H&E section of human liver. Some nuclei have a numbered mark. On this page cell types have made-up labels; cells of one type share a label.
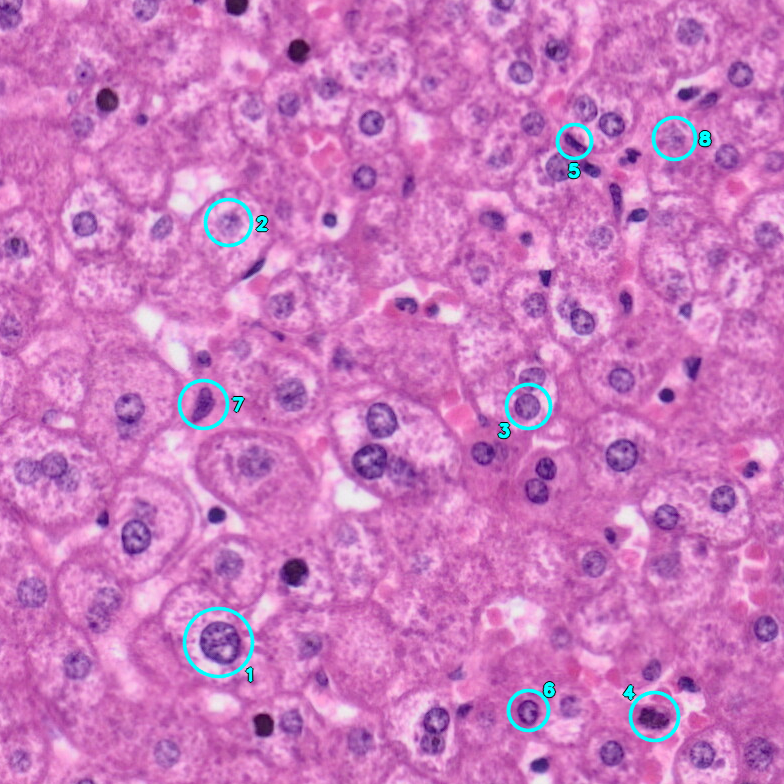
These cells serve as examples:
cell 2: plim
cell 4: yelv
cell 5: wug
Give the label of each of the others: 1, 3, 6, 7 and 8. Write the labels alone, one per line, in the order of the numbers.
plim
plim
plim
yelv
plim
